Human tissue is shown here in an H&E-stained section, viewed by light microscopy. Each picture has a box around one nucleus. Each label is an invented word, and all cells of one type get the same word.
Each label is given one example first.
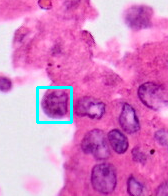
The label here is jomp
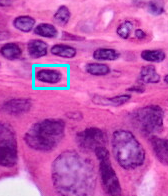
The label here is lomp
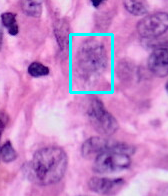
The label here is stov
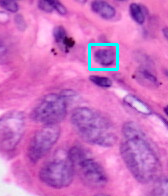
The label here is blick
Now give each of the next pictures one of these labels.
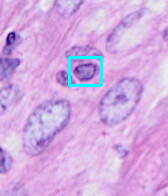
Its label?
jomp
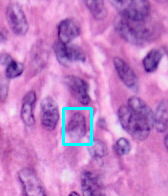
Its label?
stov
